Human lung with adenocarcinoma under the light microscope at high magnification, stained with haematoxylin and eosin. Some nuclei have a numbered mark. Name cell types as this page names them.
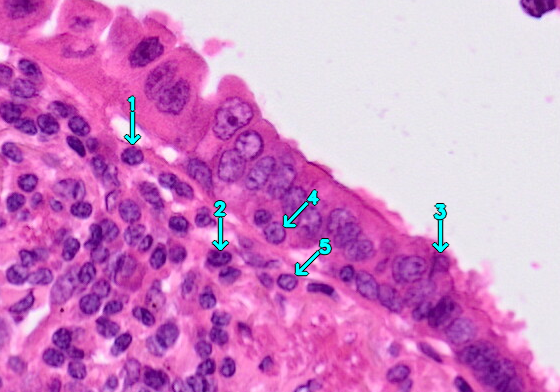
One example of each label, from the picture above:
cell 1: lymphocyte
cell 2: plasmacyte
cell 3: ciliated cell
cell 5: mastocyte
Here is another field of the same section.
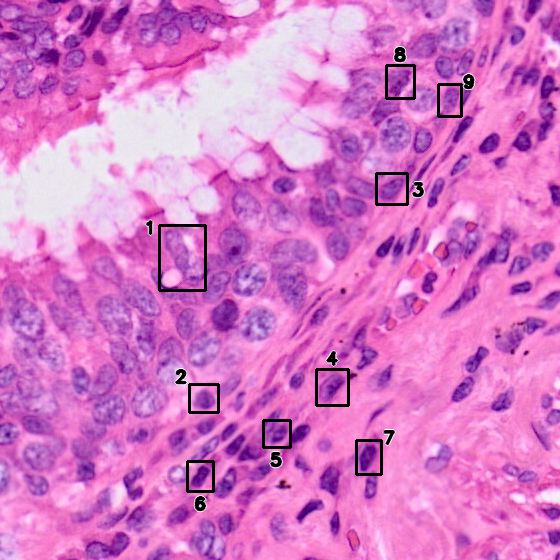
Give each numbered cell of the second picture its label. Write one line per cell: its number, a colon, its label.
1: ciliated cell
2: lymphocyte
3: ciliated cell
4: plasmacyte
5: plasmacyte
6: plasmacyte
7: plasmacyte
8: ciliated cell
9: ciliated cell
